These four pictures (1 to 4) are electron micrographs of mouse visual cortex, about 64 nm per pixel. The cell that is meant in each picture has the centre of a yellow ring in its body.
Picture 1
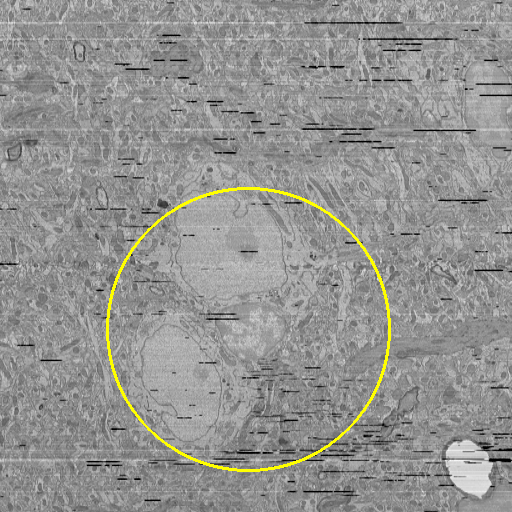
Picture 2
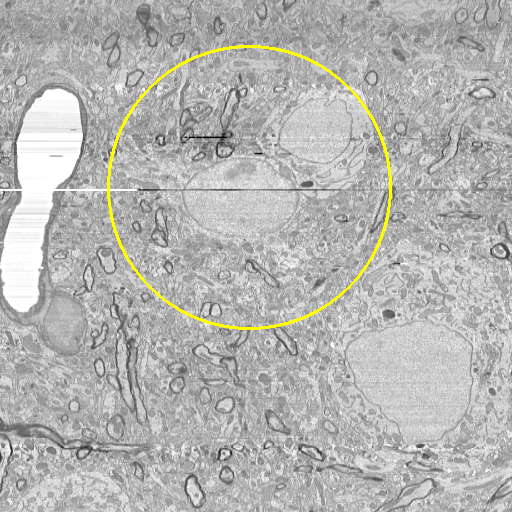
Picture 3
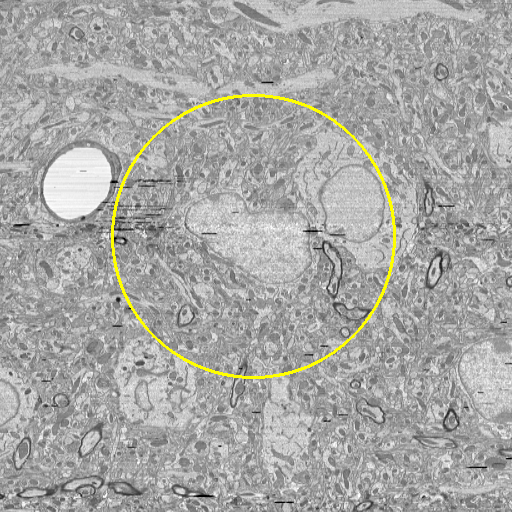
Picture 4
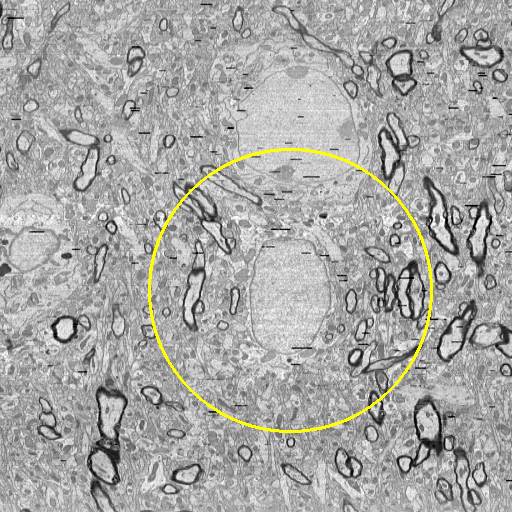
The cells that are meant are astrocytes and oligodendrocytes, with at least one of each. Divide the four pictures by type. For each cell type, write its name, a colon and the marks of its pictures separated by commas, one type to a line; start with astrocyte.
astrocyte: 2, 3, 4
oligodendrocyte: 1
